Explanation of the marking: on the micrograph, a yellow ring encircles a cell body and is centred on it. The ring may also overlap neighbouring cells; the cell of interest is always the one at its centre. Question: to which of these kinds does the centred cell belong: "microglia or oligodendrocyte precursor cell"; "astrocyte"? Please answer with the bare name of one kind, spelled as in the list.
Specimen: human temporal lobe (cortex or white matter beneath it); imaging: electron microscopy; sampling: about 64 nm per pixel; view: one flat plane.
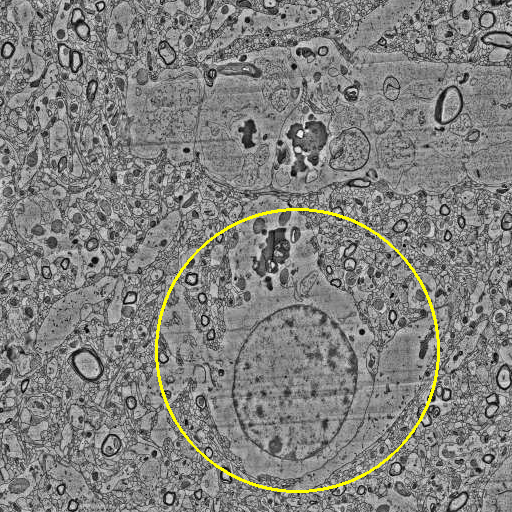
astrocyte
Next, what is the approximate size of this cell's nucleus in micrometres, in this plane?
The nucleus is approximately 10 micrometers long by 8 micrometers wide in this plane.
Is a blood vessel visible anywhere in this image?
Yes, one is visible.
